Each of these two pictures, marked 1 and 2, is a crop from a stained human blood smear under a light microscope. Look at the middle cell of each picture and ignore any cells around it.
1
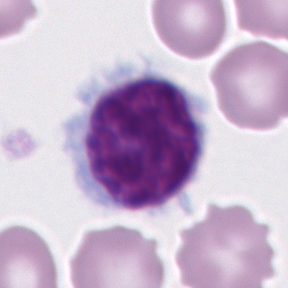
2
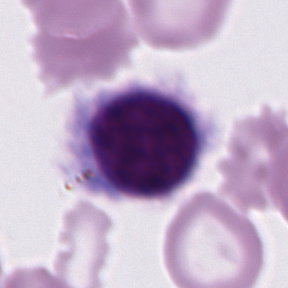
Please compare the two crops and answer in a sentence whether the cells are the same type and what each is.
Yes, both crops show hairy cells, and the two match.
